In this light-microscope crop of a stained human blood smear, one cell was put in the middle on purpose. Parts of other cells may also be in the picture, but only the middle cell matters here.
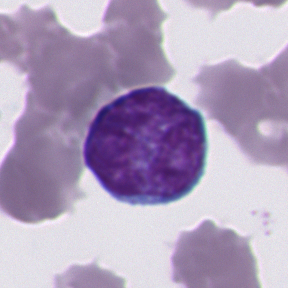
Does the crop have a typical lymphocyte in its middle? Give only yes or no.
yes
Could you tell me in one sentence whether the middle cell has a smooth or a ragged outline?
Its surface contour is regular and smooth, without any protrusions.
